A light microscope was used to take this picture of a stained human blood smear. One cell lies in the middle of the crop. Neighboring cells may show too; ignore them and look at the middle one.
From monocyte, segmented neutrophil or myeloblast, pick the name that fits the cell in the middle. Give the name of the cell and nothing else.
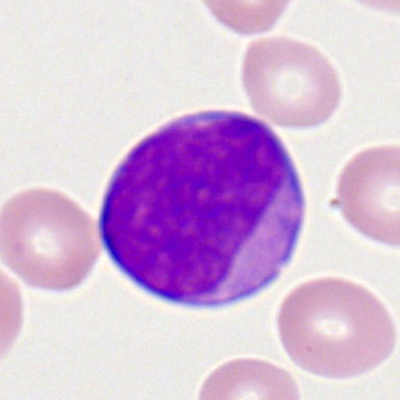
myeloblast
